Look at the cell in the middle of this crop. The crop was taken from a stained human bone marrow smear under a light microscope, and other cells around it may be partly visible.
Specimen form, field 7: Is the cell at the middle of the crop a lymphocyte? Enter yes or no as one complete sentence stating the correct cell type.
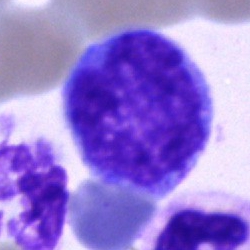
No, the central cell is a monocyte, not a lymphocyte.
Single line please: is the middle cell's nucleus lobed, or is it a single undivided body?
The cell carries one compact nucleus shaped round, oval or like a kidney.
